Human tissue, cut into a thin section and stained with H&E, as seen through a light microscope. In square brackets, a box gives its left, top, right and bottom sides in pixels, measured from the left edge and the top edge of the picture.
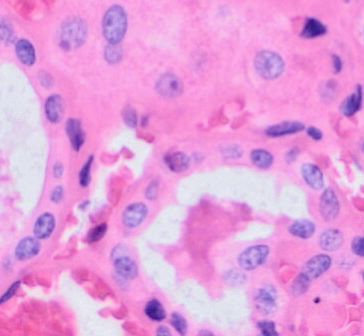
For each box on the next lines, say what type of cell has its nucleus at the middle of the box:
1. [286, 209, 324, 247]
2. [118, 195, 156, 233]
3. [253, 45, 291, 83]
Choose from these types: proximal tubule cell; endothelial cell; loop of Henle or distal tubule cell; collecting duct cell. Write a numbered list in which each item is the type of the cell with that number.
1. collecting duct cell
2. collecting duct cell
3. proximal tubule cell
